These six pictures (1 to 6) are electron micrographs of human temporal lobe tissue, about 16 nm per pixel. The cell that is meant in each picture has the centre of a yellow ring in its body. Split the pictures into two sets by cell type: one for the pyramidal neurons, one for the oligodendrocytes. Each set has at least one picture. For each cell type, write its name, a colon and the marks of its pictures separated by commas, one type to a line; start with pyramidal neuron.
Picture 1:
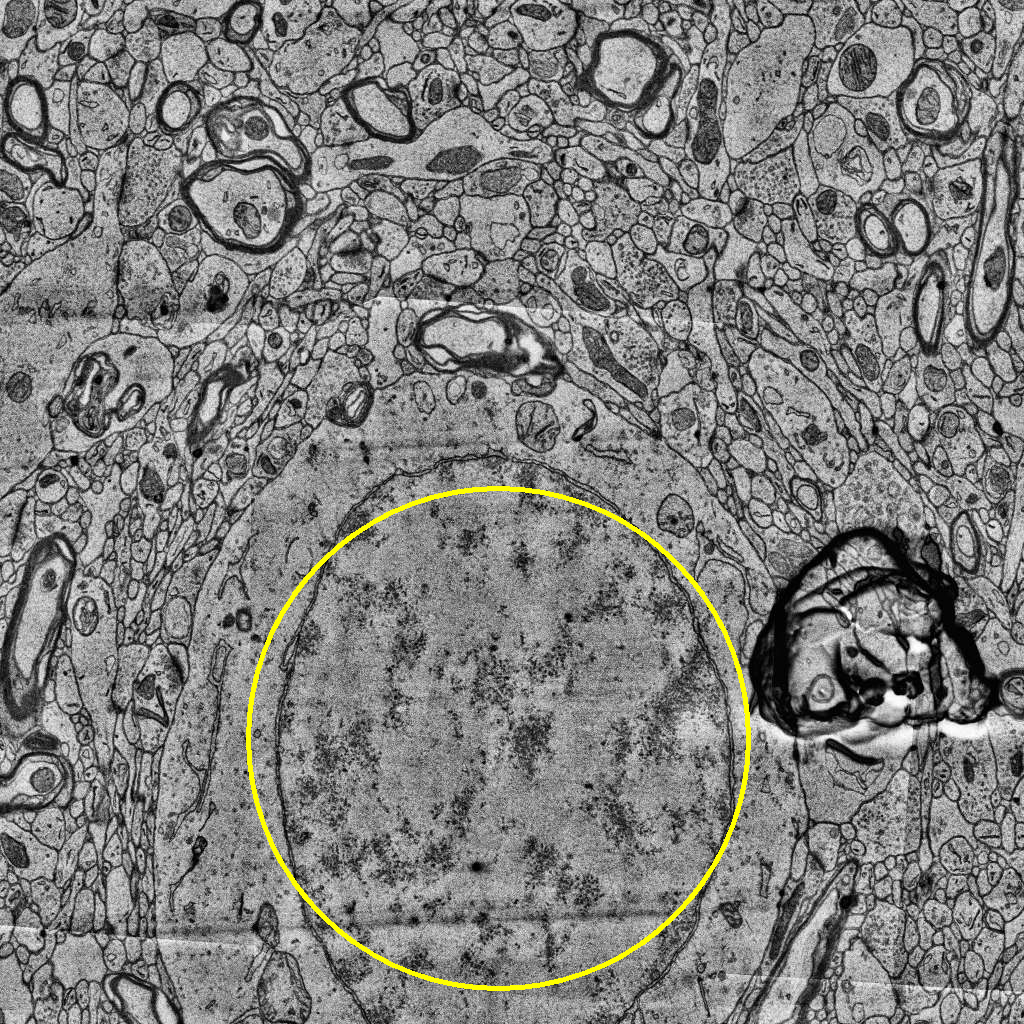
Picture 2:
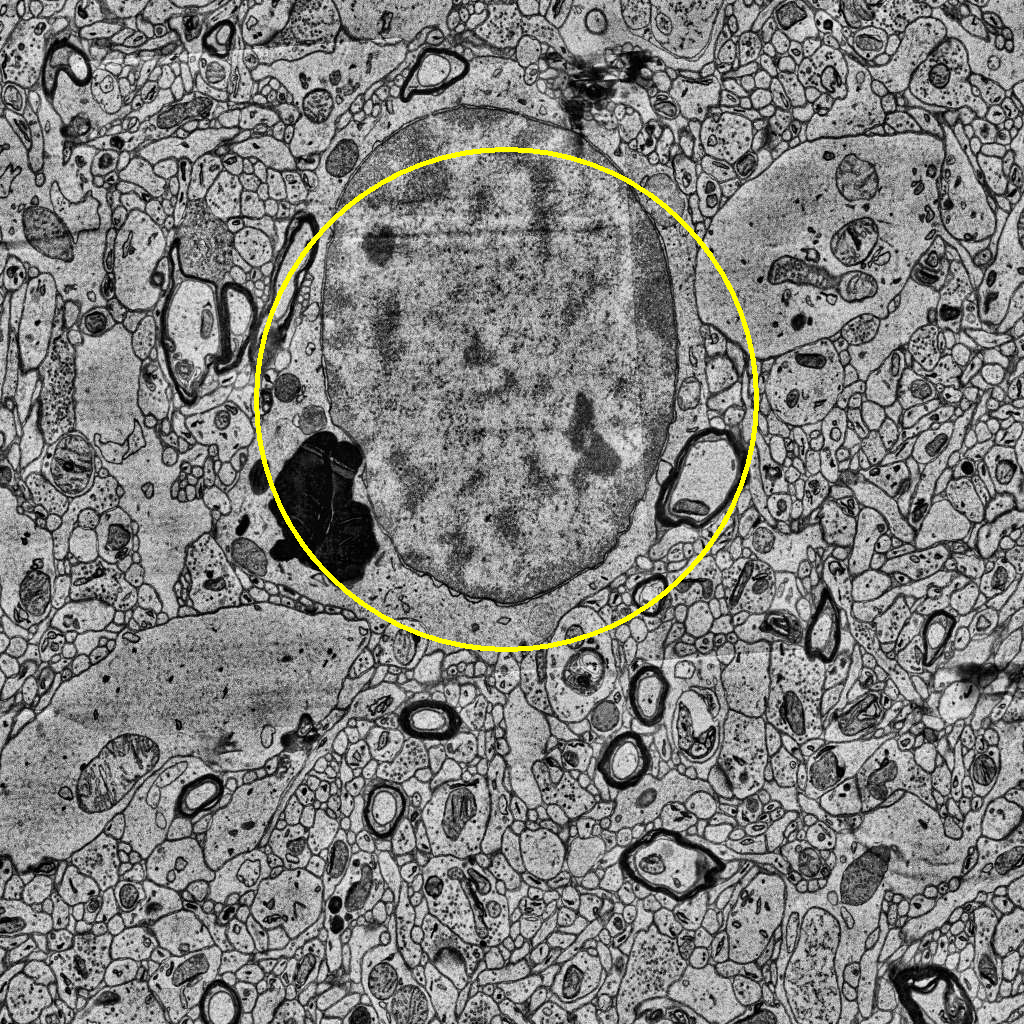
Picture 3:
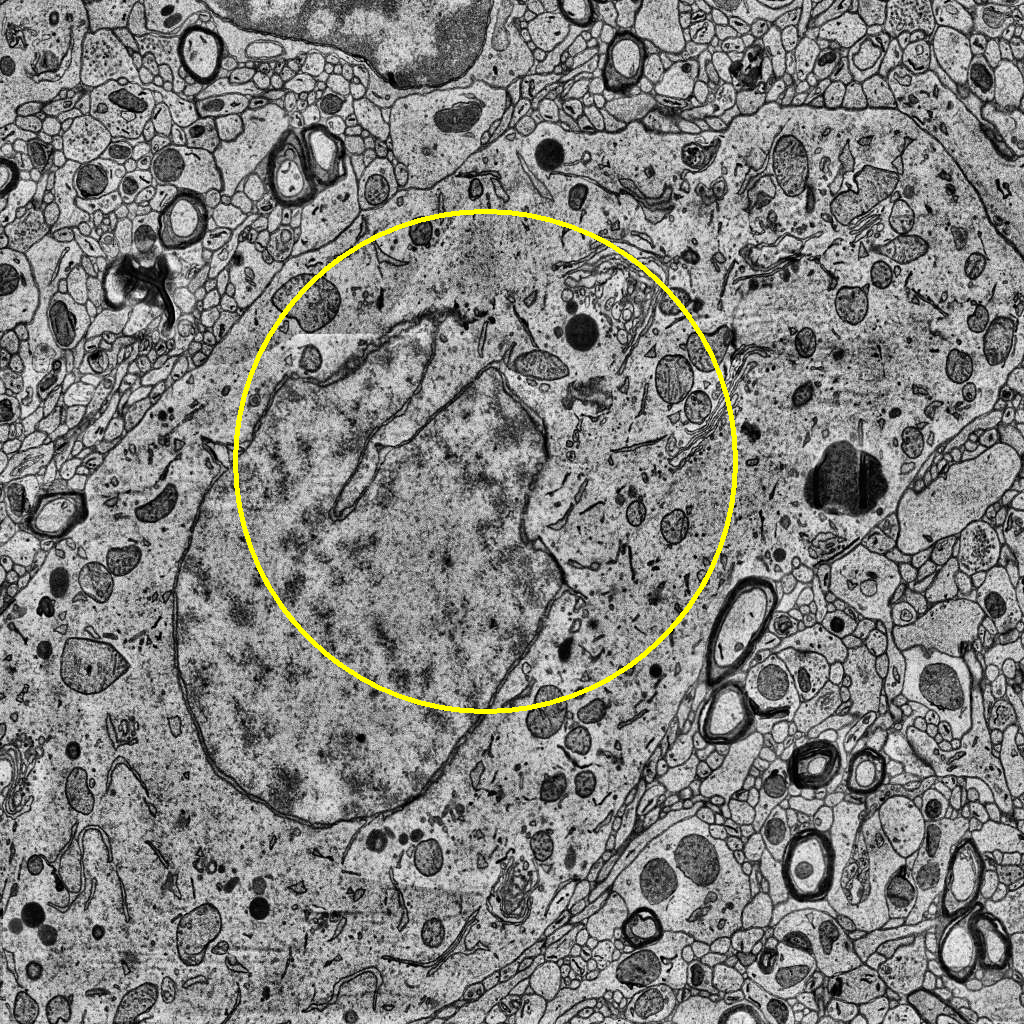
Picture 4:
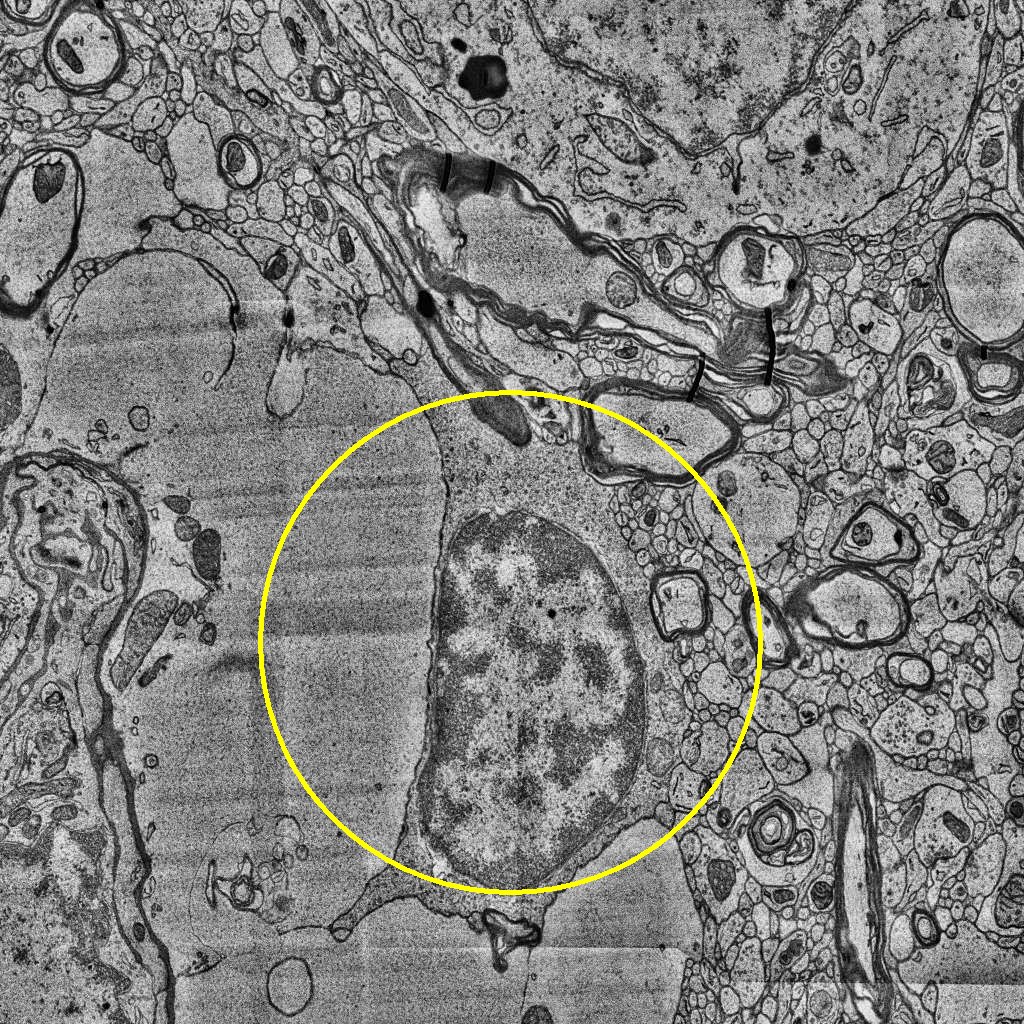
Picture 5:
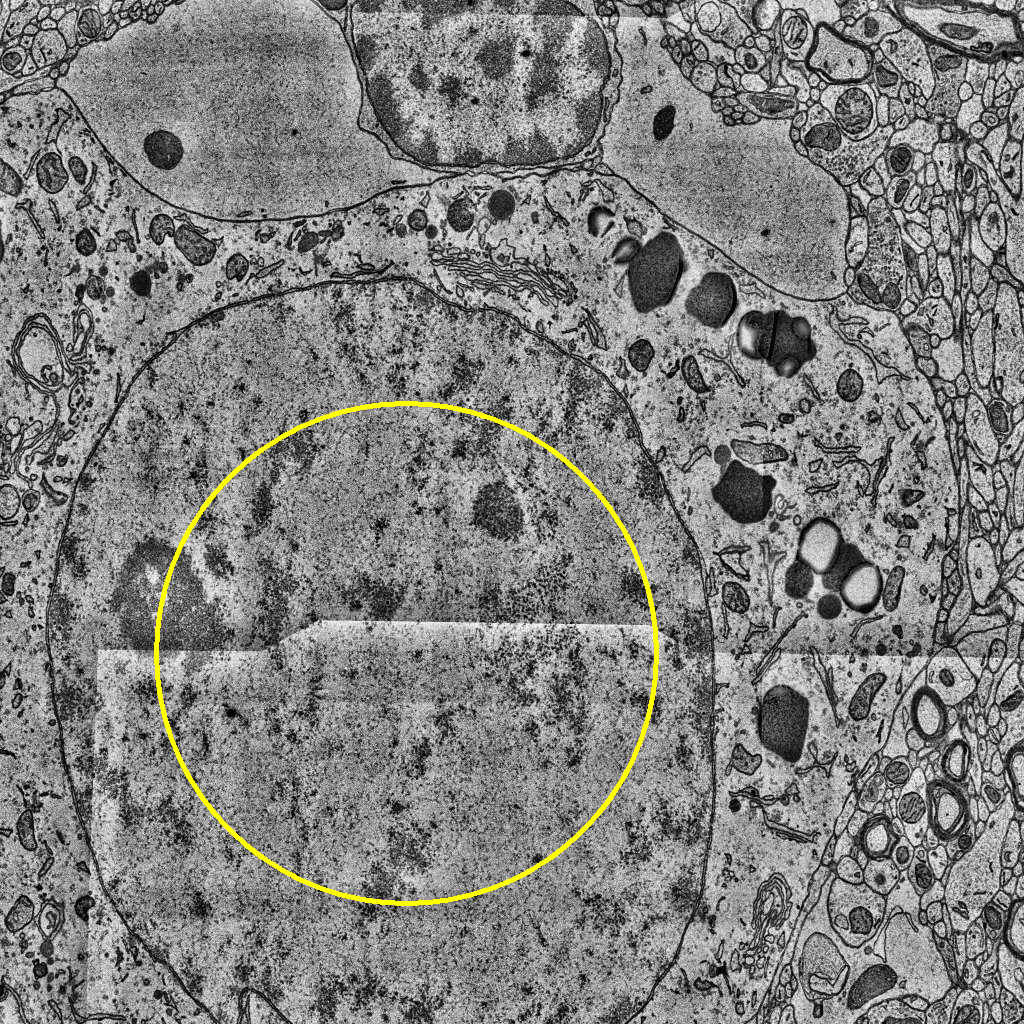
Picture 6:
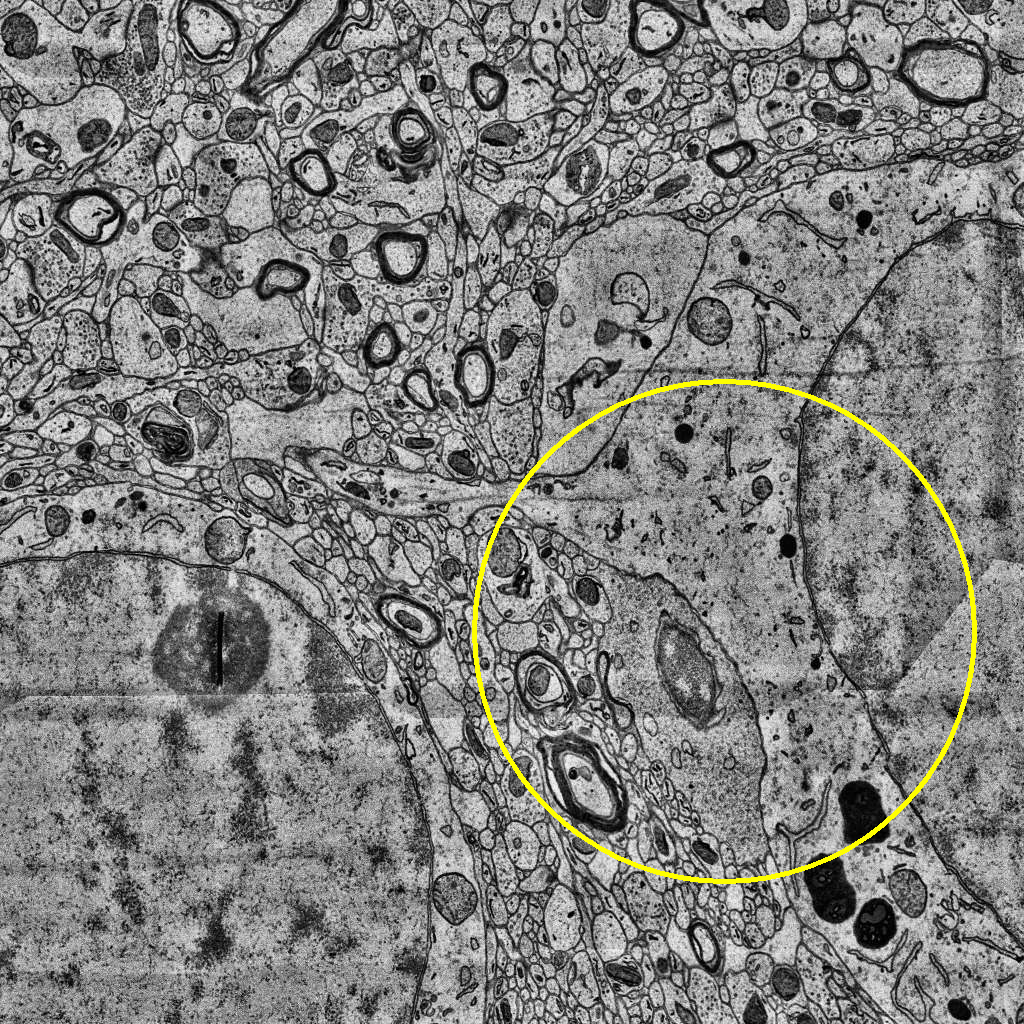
pyramidal neuron: 1, 3, 5
oligodendrocyte: 2, 4, 6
